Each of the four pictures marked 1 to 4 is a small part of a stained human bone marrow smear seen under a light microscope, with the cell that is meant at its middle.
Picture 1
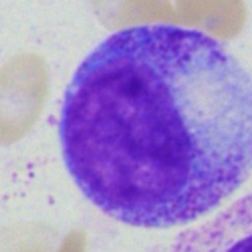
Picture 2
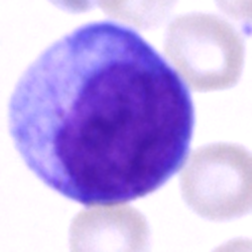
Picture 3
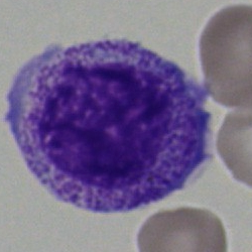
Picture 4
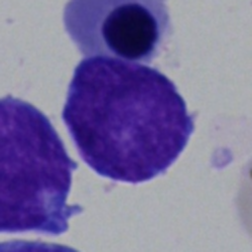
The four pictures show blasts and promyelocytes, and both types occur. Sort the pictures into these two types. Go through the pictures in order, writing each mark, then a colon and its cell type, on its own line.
1: promyelocyte
2: promyelocyte
3: promyelocyte
4: blast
